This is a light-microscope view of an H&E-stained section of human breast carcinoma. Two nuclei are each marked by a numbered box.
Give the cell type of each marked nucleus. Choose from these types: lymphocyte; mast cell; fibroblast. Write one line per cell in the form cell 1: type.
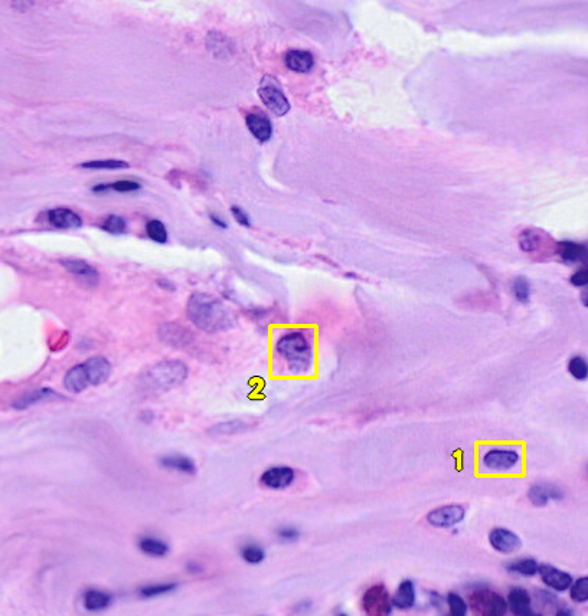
cell 1: lymphocyte
cell 2: mast cell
